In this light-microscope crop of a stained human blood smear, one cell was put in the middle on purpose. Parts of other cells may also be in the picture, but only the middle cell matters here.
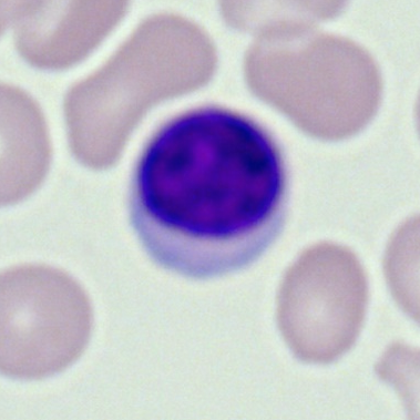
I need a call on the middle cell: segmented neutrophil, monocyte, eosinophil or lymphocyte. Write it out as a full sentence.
The centrally located cell in the crop is a lymphocyte.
